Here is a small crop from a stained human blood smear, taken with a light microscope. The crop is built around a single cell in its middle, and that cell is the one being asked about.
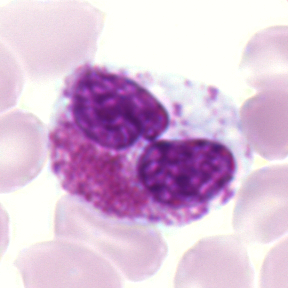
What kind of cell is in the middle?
eosinophil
